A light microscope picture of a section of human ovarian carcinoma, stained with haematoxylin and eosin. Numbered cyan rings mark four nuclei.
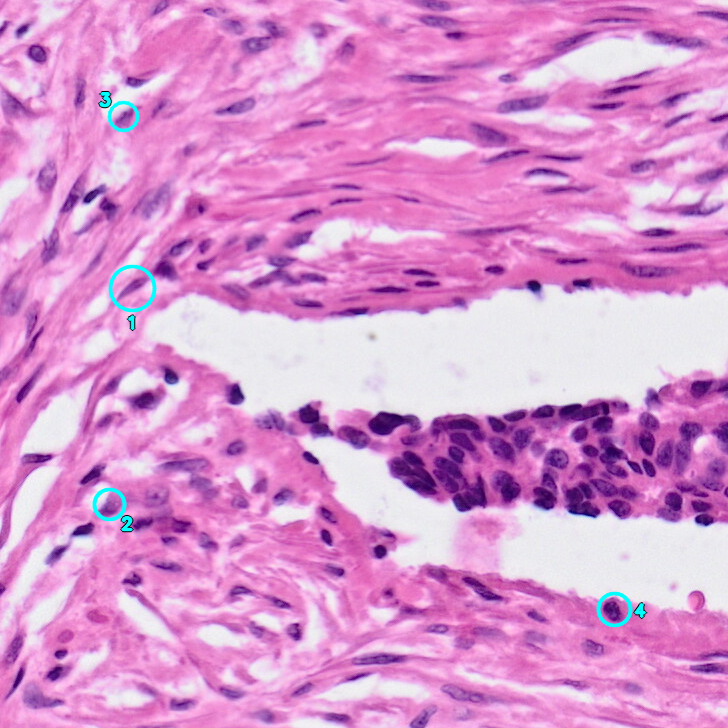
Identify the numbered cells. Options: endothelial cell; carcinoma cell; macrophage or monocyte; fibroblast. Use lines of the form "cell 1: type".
cell 1: fibroblast
cell 2: fibroblast
cell 3: fibroblast
cell 4: macrophage or monocyte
